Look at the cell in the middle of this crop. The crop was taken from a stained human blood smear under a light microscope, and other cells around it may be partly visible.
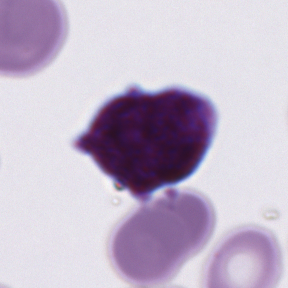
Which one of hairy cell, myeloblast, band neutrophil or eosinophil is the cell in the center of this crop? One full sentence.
The middle cell in this particular crop is a myeloblast.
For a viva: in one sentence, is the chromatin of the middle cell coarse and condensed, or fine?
This nucleus has coarsely clumped chromatin.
